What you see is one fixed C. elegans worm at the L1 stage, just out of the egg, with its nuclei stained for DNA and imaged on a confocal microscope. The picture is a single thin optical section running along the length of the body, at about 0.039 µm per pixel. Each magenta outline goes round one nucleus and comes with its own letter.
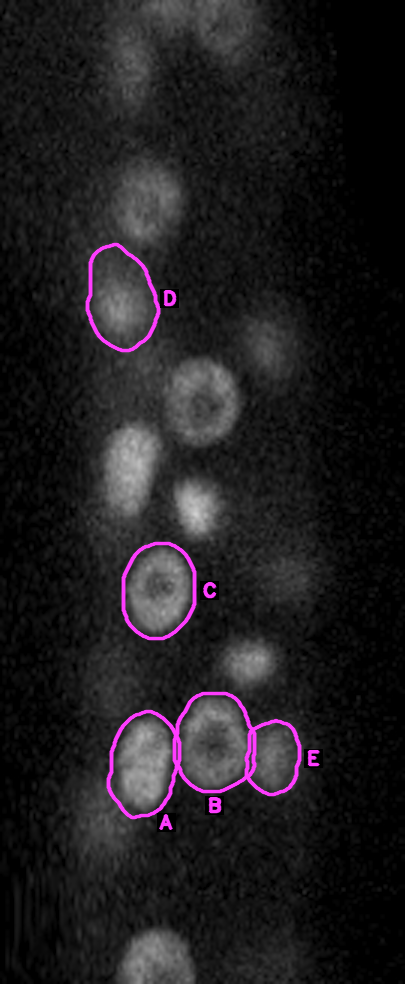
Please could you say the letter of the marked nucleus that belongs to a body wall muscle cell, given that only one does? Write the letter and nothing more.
E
